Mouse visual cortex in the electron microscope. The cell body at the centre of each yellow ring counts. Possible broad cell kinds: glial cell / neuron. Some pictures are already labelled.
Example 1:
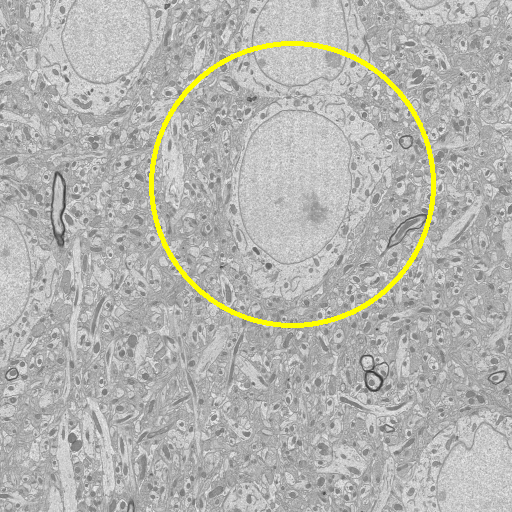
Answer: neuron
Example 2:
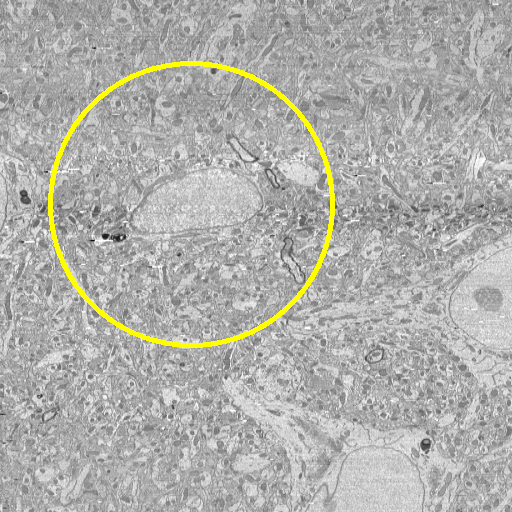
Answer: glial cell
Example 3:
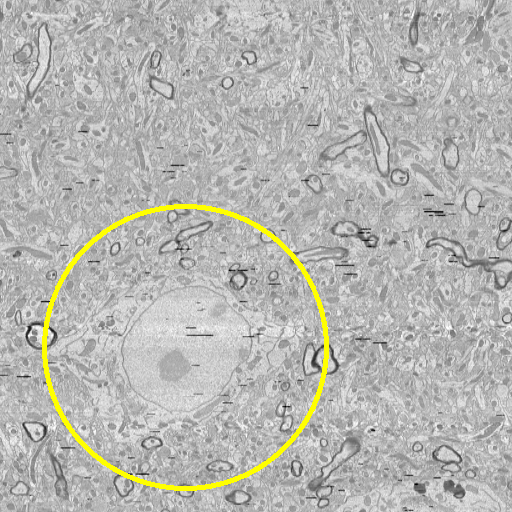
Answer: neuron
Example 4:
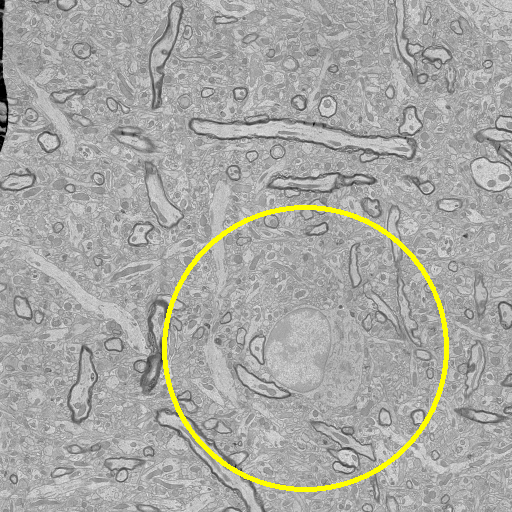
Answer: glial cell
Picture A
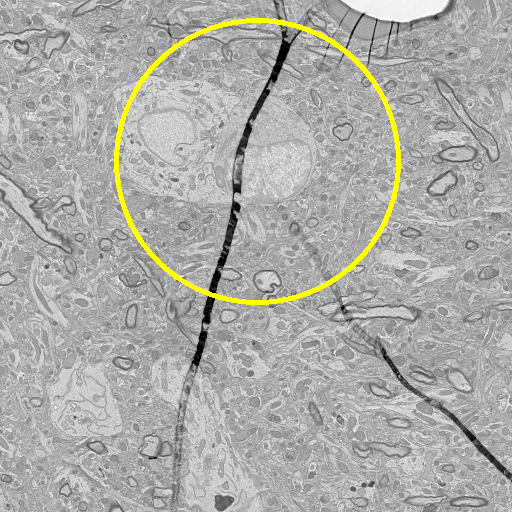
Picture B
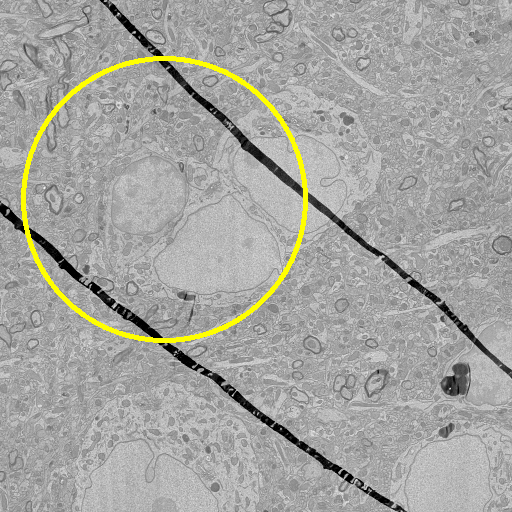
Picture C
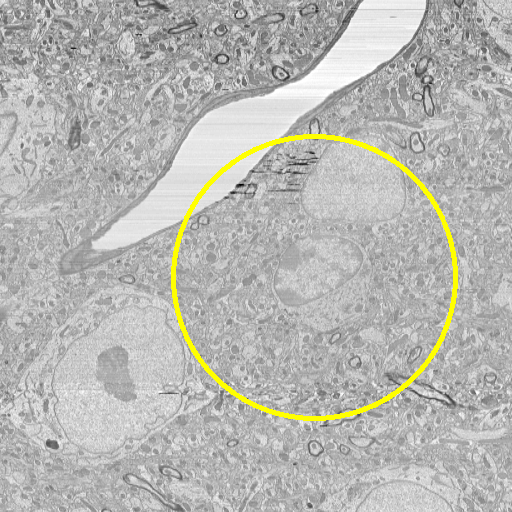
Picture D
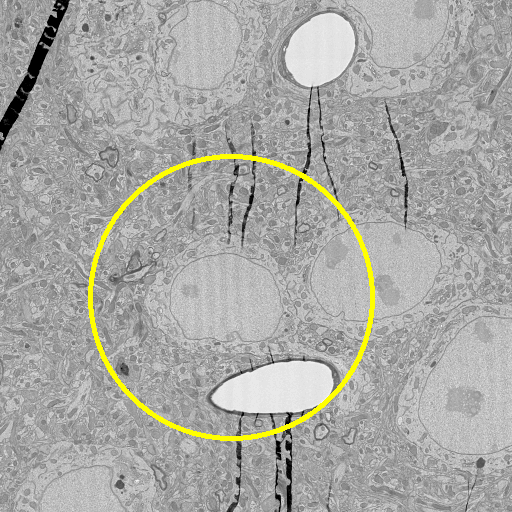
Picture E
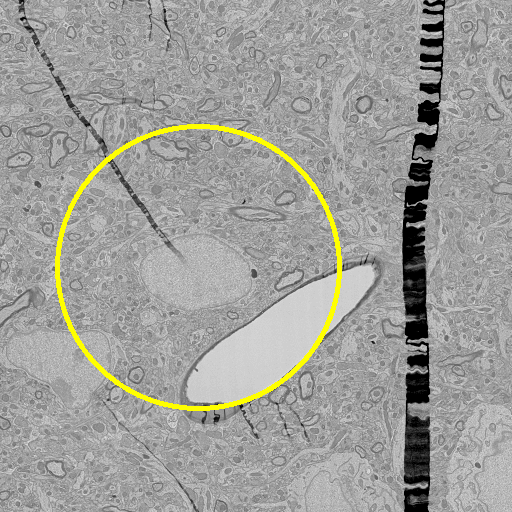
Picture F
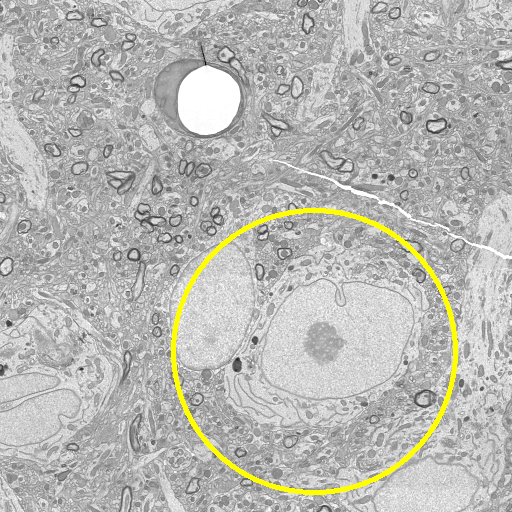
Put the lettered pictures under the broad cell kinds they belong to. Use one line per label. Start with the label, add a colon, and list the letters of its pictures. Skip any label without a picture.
glial cell: A, B, C, E
neuron: D, F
